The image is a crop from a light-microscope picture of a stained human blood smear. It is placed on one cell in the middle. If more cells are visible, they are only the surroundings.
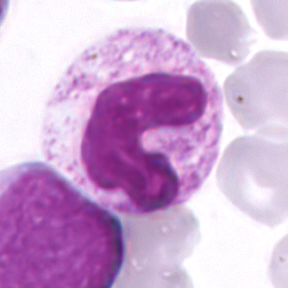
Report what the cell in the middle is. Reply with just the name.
band neutrophil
